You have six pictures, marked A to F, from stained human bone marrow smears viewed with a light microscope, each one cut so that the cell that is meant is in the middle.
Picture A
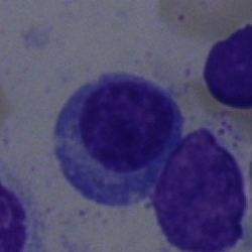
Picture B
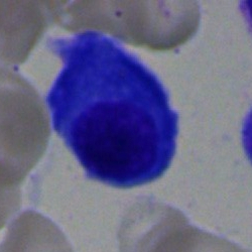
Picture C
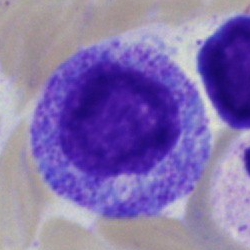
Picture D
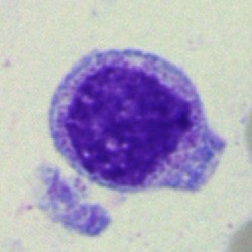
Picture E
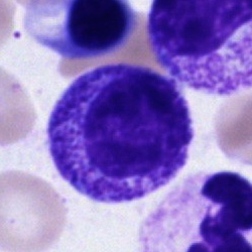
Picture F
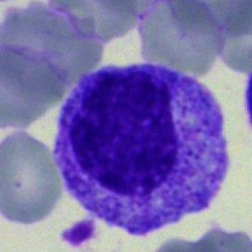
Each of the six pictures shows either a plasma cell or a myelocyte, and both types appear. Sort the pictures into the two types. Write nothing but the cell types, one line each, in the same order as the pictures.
plasma cell
plasma cell
myelocyte
myelocyte
myelocyte
myelocyte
